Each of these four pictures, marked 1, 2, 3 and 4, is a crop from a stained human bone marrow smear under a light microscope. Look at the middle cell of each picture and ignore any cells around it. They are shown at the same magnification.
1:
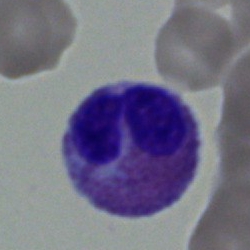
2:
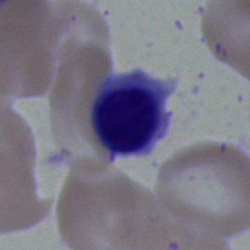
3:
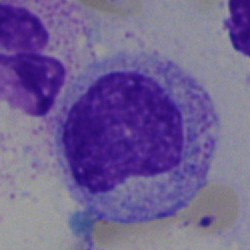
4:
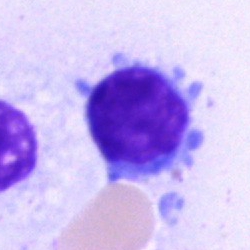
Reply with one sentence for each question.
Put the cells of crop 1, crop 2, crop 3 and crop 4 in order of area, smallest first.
From the smallest up, the order is 2, 4, 1, 3.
